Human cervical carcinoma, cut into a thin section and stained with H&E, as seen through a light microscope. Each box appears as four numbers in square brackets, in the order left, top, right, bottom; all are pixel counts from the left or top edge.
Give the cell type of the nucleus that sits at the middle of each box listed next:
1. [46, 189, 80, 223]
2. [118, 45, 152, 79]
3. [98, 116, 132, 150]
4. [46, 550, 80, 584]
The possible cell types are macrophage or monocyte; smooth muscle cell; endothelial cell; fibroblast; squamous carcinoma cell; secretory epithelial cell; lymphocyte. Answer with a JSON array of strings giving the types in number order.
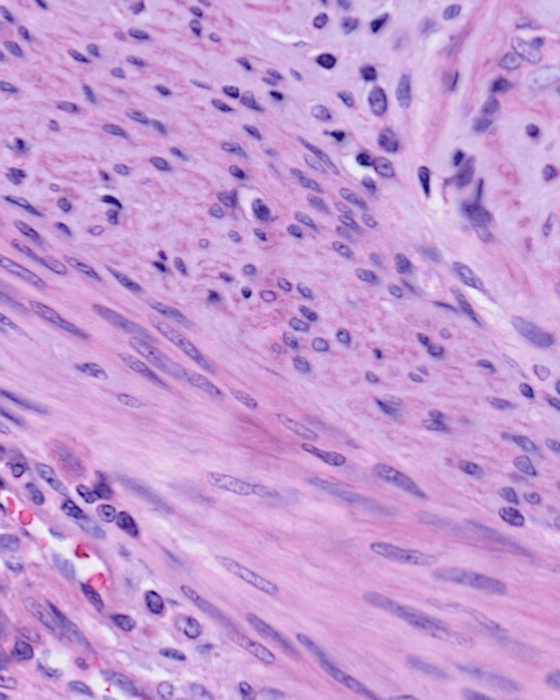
["smooth muscle cell", "smooth muscle cell", "smooth muscle cell", "endothelial cell"]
